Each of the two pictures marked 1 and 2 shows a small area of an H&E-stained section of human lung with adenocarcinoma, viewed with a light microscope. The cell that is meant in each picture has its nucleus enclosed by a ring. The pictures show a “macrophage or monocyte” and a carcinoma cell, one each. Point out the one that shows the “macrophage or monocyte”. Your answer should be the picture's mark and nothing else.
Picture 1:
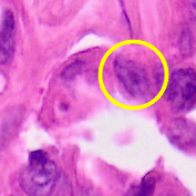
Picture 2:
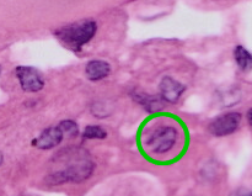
2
